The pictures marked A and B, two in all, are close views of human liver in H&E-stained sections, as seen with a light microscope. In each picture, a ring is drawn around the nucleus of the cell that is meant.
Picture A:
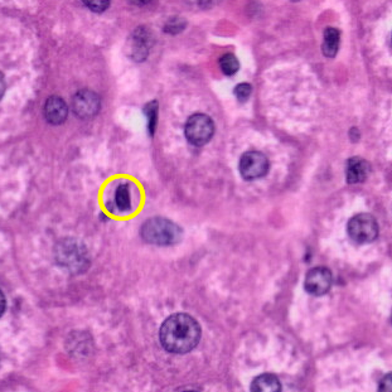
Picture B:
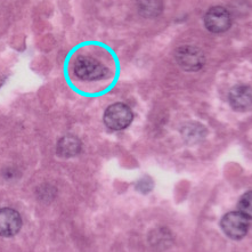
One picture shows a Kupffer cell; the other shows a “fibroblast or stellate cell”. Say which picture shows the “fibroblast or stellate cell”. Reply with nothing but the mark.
A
